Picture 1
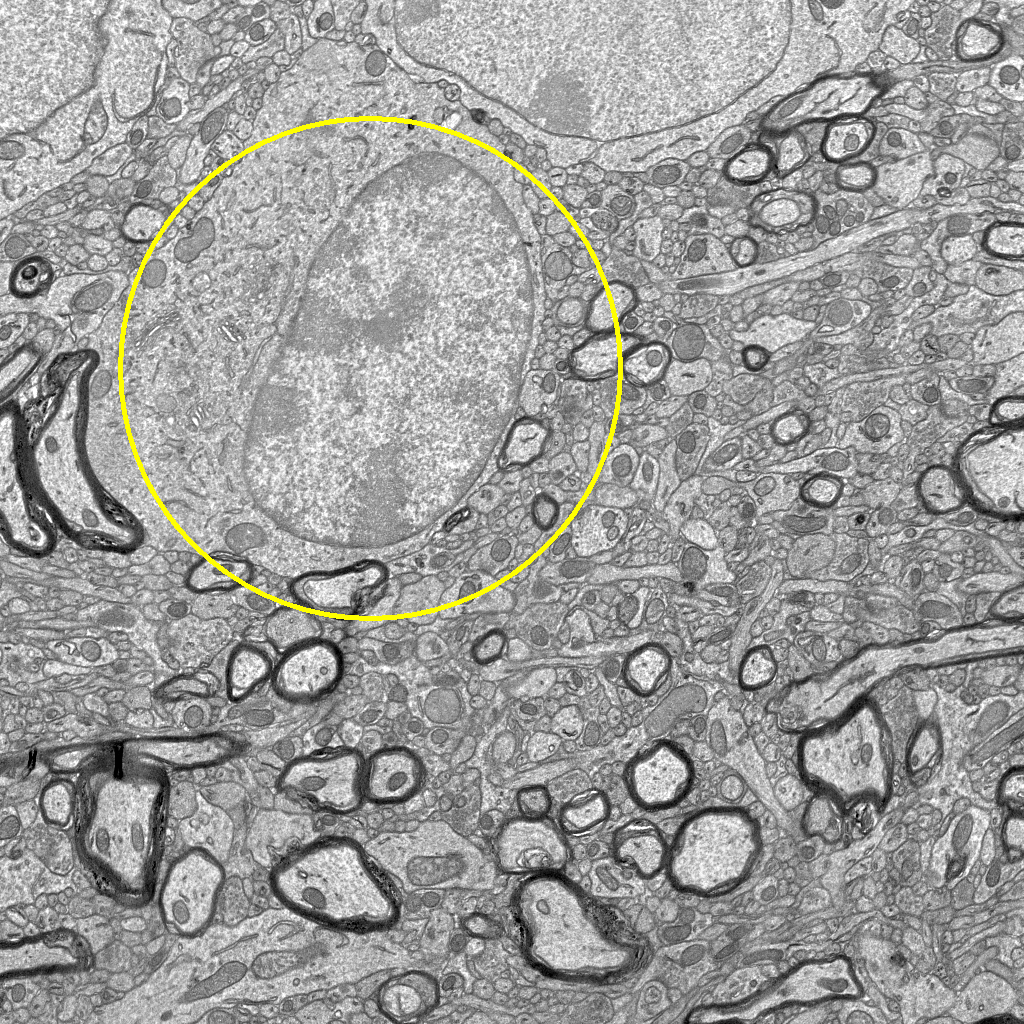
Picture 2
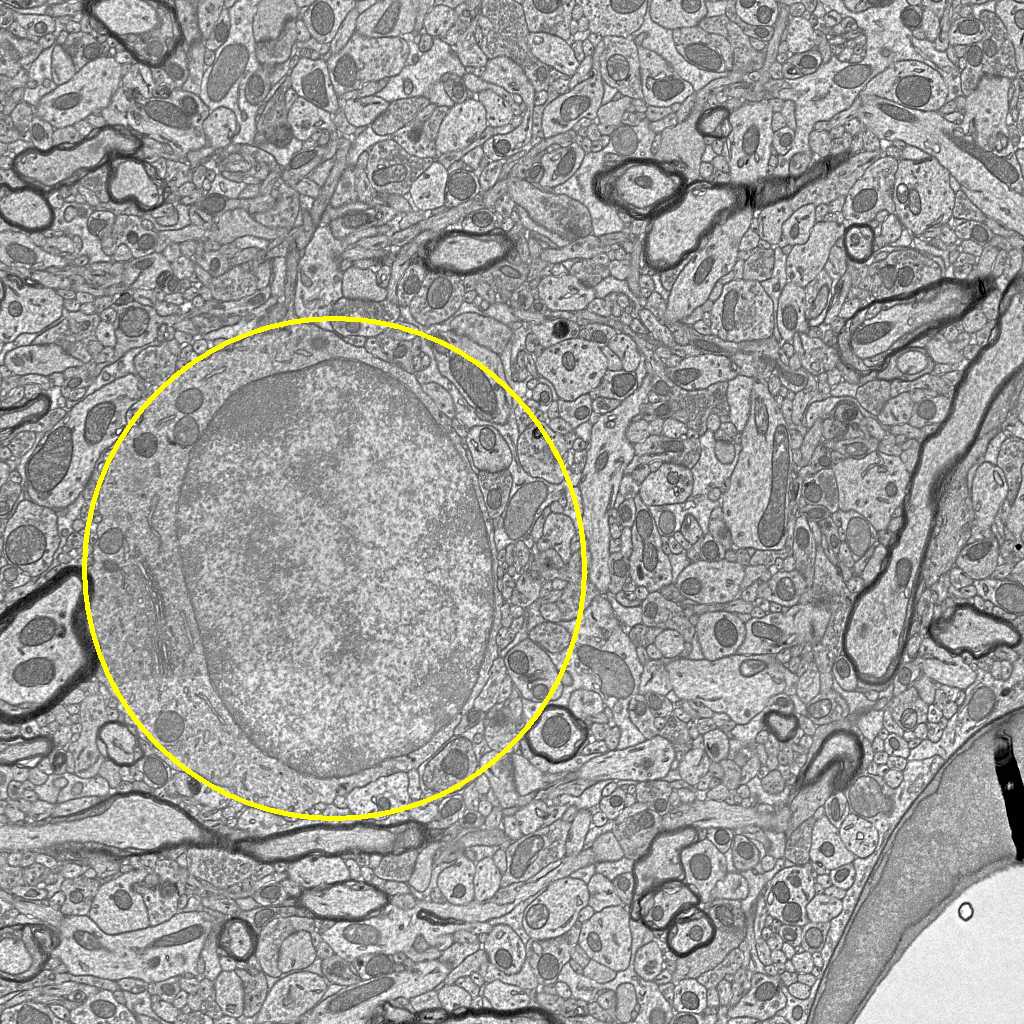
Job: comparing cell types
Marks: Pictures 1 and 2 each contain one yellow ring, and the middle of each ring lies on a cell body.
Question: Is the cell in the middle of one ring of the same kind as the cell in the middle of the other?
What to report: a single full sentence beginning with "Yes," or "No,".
Yes, the cell at the ring centre in Picture 1 and its partner in Picture 2 are of one kind.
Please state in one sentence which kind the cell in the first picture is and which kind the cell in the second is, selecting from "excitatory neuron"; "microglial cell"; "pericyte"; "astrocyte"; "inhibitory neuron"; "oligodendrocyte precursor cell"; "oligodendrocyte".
The second cell is an oligodendrocyte, just as the first is.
